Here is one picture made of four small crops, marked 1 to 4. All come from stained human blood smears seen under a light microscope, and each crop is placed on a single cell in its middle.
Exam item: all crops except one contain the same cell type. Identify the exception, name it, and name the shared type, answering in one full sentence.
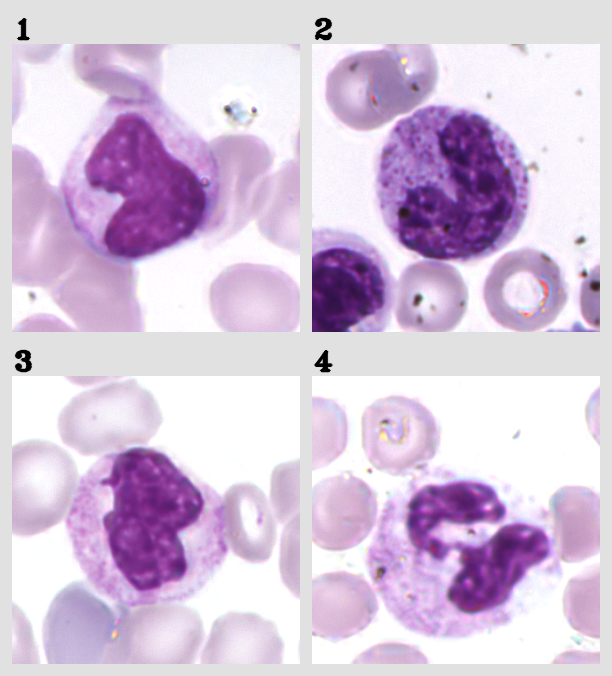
Crop 4 is the only crop with a segmented neutrophil, the others all showing band neutrophils.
